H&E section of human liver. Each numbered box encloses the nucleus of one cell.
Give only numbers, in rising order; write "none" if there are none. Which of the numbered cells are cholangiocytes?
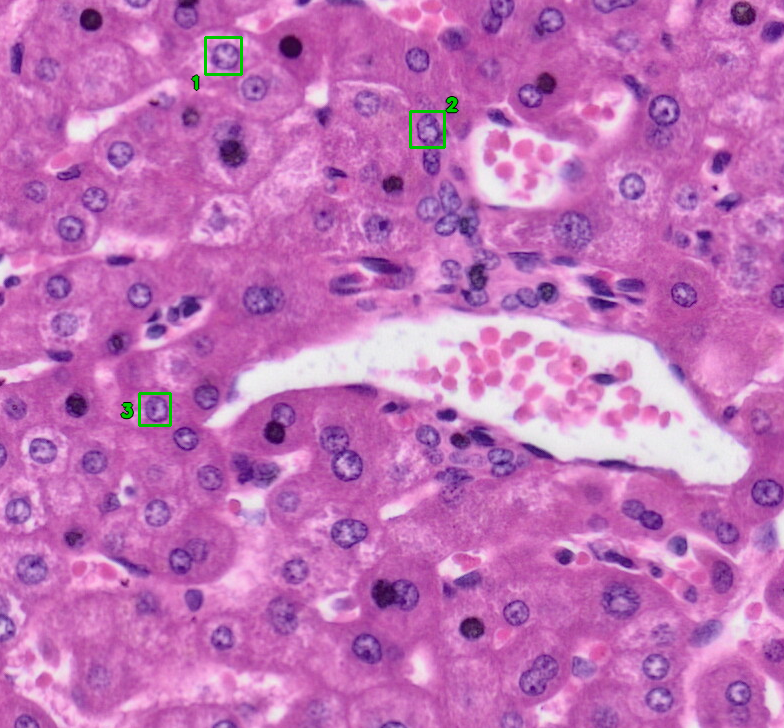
2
